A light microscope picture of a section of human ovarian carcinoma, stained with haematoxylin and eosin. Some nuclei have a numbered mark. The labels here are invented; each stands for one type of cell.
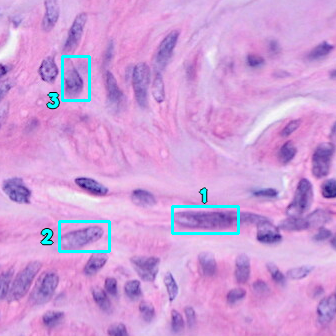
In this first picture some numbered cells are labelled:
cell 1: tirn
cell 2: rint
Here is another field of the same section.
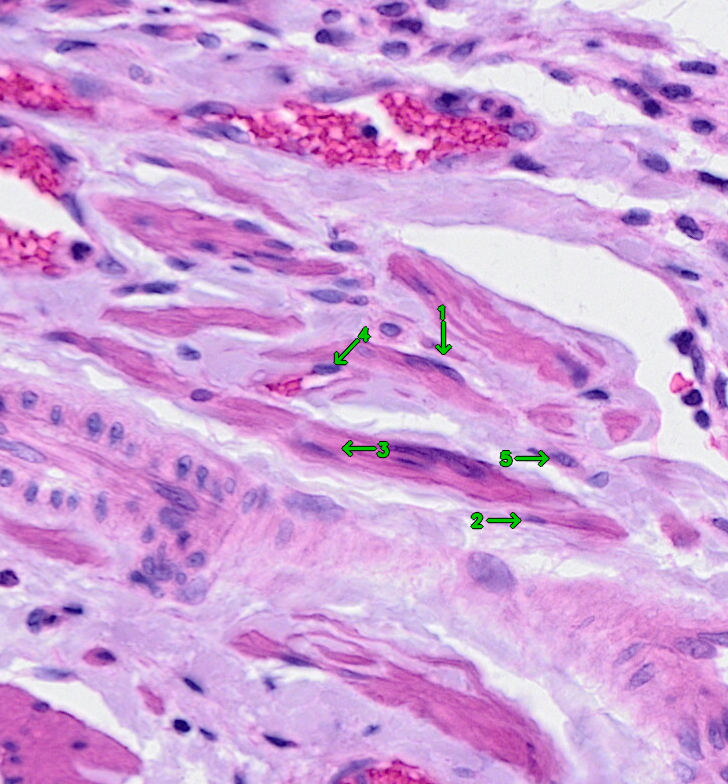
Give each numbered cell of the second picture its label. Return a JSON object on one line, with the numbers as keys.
{"1": "rint", "2": "rint", "3": "rint", "4": "tirn", "5": "tirn"}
